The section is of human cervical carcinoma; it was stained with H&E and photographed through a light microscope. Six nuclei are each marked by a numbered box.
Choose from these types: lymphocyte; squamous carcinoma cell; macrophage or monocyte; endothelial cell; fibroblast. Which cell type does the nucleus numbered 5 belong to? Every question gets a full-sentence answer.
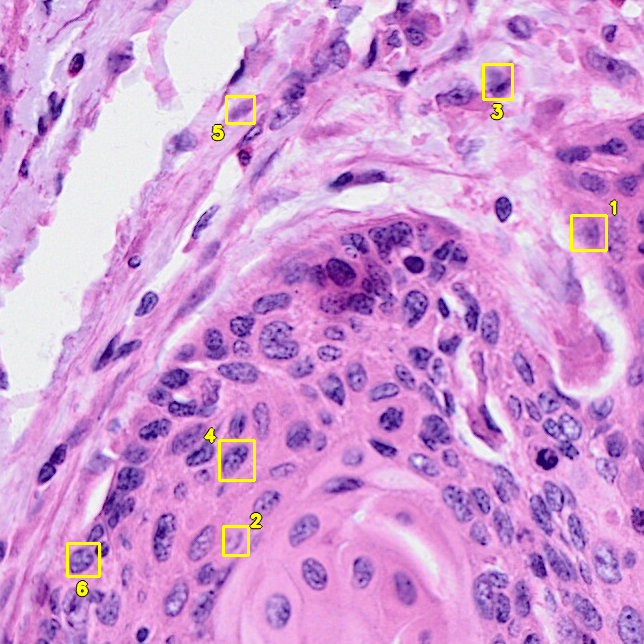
Cell 5, as marked in the section, is a fibroblast.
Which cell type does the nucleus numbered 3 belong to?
The nucleus marked 3 is the nucleus of a macrophage or monocyte.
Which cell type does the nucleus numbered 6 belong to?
The cell referenced by the number 6 is a squamous carcinoma cell in this field.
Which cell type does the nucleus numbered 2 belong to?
Among the marked nuclei, number 2 belongs to a squamous carcinoma cell.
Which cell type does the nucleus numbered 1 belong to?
The cell that carries the label 1 is a squamous carcinoma cell.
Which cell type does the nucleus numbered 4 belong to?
The nucleus with number 4 is that of a squamous carcinoma cell.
